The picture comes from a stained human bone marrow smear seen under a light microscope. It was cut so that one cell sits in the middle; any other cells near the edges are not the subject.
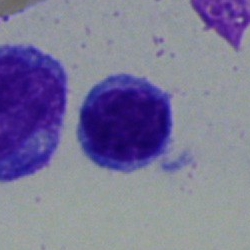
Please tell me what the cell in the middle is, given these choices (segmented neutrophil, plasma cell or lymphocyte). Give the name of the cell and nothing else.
lymphocyte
